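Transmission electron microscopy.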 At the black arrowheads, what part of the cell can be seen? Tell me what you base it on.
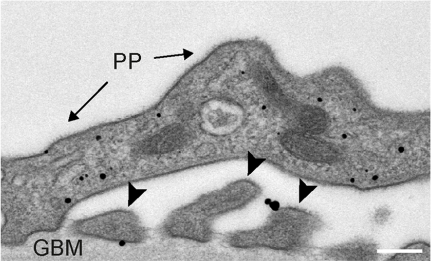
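Foot processes. These projections sit on a continuous grey band of extracellular membrane.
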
